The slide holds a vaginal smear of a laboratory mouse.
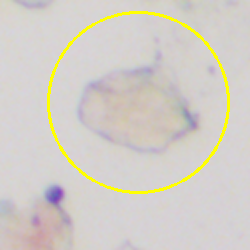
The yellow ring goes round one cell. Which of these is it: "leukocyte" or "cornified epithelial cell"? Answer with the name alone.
cornified epithelial cell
